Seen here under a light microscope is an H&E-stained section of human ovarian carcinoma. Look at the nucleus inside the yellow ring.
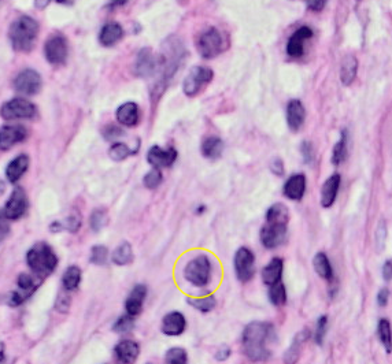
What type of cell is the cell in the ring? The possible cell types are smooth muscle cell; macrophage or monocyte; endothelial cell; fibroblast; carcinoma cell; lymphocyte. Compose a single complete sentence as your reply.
With respect to cell type, the cell in the ring is a lymphocyte.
